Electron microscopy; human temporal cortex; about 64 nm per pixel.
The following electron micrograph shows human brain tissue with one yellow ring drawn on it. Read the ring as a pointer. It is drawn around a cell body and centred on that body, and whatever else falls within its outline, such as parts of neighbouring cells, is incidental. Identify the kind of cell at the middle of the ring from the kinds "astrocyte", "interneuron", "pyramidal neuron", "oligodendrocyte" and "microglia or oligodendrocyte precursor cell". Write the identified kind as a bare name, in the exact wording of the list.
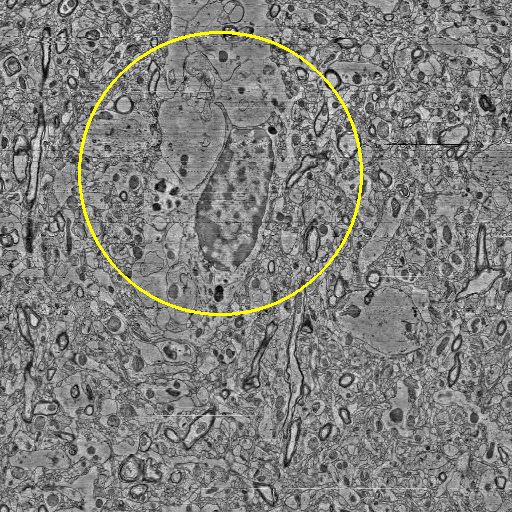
microglia or oligodendrocyte precursor cell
